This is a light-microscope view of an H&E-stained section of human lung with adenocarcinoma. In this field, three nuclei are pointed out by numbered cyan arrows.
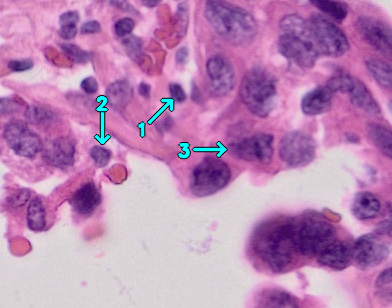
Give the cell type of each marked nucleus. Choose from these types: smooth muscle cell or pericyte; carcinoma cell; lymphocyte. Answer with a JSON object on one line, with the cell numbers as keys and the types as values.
{"1": "lymphocyte", "2": "lymphocyte", "3": "carcinoma cell"}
